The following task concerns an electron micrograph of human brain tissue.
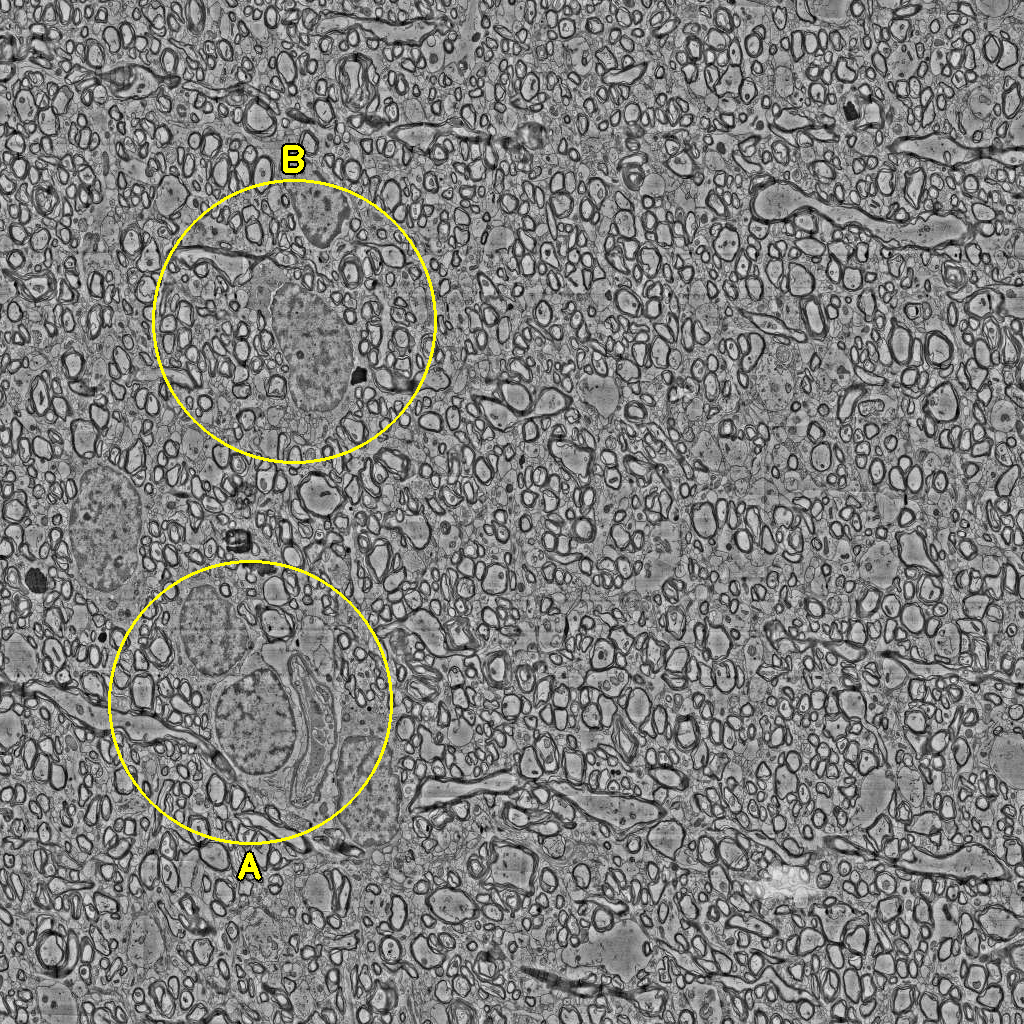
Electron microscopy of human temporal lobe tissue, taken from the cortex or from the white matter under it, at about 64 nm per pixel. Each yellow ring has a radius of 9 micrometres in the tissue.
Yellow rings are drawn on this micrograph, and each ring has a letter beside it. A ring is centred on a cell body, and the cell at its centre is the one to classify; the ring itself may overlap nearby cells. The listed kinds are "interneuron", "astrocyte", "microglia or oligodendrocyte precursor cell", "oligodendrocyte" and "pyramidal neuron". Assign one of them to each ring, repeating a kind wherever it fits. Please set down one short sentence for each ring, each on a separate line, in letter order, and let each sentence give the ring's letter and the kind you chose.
The cell ringed as A is a microglial cell or oligodendrocyte precursor cell.
The cell ringed as B is an oligodendrocyte.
